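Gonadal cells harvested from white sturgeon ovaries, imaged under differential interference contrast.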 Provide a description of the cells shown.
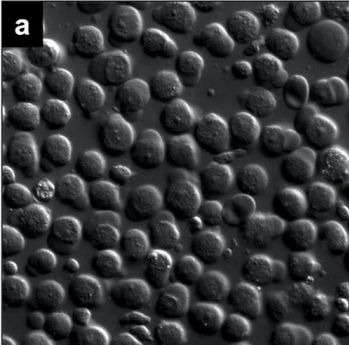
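Most cells are round to slightly oval and of fairly similar size, with a finely granular, textured surface in relief. A few smaller, irregular cells and fragments lie scattered between the larger round ones. The cells are separate from one another rather than joined into a tissue.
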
